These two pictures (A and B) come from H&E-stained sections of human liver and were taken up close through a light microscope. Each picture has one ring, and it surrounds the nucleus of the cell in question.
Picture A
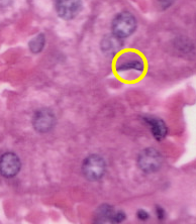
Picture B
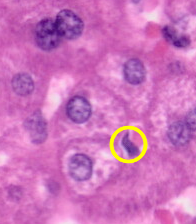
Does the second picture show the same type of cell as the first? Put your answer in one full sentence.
Yes, they are the same type: both are endothelial cells.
